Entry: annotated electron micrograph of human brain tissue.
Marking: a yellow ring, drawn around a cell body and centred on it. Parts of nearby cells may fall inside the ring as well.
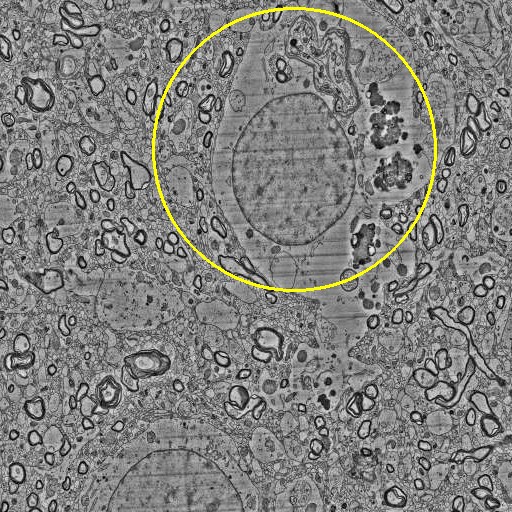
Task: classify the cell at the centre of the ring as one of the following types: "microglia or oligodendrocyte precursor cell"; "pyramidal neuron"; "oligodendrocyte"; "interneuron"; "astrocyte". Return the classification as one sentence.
The marked cell is classified as an astrocyte.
